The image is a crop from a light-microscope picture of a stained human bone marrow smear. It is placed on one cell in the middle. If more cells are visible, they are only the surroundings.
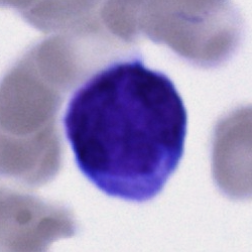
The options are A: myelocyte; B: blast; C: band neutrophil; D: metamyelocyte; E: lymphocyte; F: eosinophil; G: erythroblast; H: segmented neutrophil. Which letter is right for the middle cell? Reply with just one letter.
B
